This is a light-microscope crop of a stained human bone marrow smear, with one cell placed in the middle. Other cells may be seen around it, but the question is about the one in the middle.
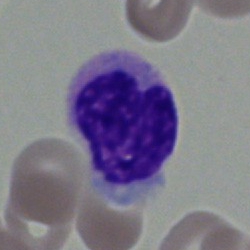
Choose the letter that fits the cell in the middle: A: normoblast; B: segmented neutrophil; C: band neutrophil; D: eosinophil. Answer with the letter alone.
C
